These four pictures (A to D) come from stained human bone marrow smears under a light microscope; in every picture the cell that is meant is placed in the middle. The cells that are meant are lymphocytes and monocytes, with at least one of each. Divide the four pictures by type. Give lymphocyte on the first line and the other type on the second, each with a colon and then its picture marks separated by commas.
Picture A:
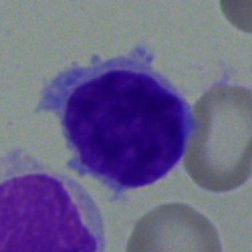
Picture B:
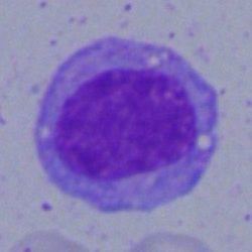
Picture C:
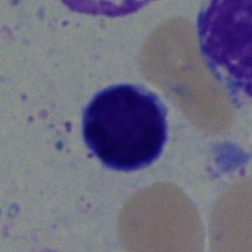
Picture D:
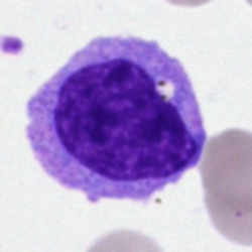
lymphocyte: A, C
monocyte: B, D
